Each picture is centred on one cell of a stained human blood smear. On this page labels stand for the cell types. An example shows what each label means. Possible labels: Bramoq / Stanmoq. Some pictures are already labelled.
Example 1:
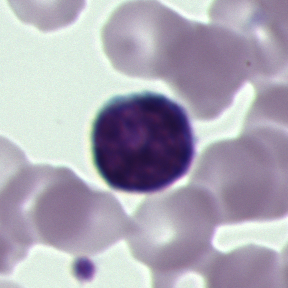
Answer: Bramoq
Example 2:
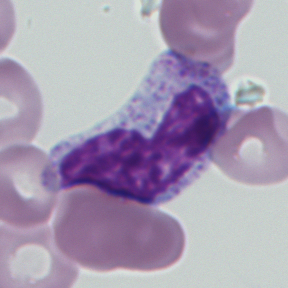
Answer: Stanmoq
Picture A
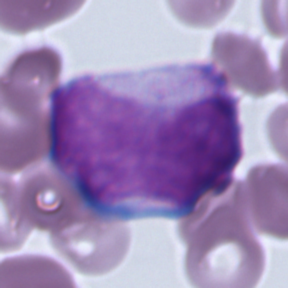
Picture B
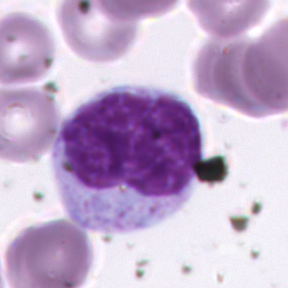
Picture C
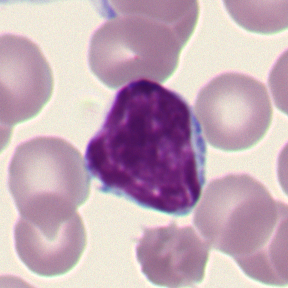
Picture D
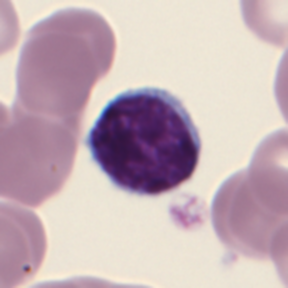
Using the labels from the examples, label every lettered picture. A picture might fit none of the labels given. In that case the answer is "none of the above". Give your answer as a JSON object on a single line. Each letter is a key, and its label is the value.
{"A": "none of the above", "B": "Stanmoq", "C": "Bramoq", "D": "Bramoq"}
